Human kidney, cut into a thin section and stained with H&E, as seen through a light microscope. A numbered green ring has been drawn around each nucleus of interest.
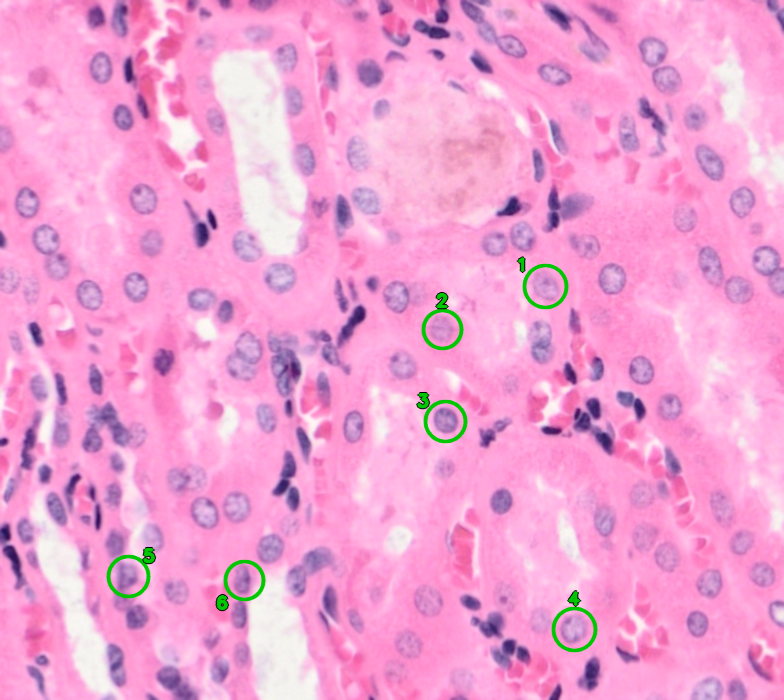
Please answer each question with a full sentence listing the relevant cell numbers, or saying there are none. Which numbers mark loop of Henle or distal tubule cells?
The cells 5 and 6 in this section are loop of Henle or distal tubule cells.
